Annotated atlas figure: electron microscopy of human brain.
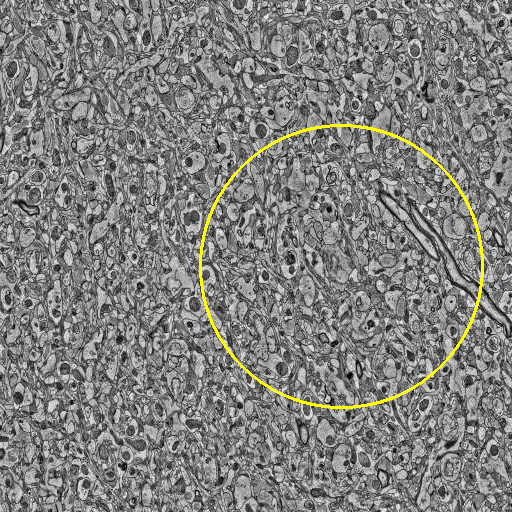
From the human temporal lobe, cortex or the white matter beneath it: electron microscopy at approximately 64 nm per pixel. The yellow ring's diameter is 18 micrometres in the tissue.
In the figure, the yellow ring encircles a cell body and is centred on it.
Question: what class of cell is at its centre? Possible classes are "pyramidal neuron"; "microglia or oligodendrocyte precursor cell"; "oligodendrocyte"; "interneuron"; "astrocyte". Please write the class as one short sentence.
The yellow ring is drawn around a microglial cell or oligodendrocyte precursor cell.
